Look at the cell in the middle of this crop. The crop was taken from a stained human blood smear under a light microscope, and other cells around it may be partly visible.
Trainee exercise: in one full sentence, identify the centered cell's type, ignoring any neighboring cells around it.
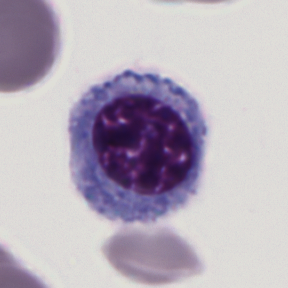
The single cell at the center of the crop is a plasma cell.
